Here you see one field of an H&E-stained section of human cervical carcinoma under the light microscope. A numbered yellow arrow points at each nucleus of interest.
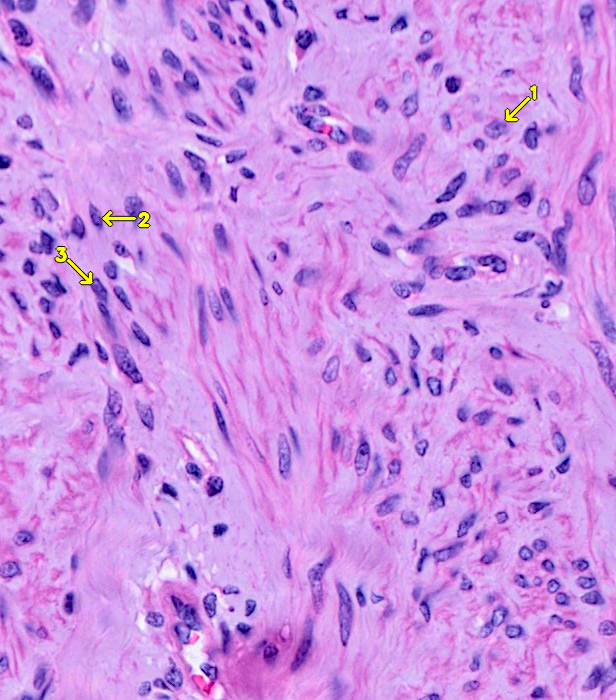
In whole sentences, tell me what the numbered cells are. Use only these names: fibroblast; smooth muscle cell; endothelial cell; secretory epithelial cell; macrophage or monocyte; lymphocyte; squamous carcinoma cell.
Cell 1 is a smooth muscle cell. Cells 2 and 3 are fibroblasts.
